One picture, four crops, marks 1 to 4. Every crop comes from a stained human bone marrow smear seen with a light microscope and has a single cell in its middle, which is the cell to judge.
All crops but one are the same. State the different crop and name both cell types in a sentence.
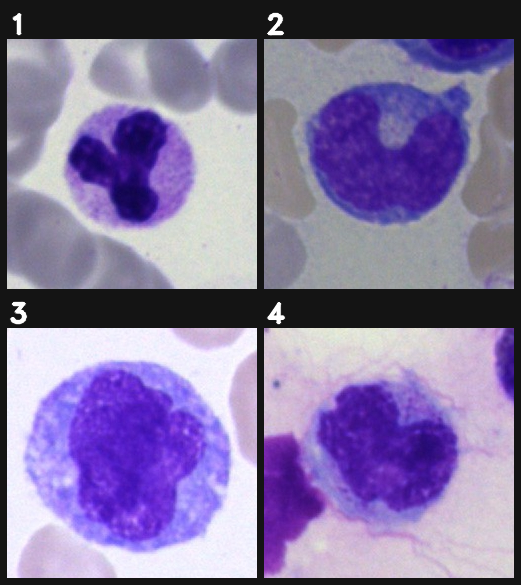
The cells centred in the other crops are all monocytes, but crop 1 is a segmented neutrophil.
